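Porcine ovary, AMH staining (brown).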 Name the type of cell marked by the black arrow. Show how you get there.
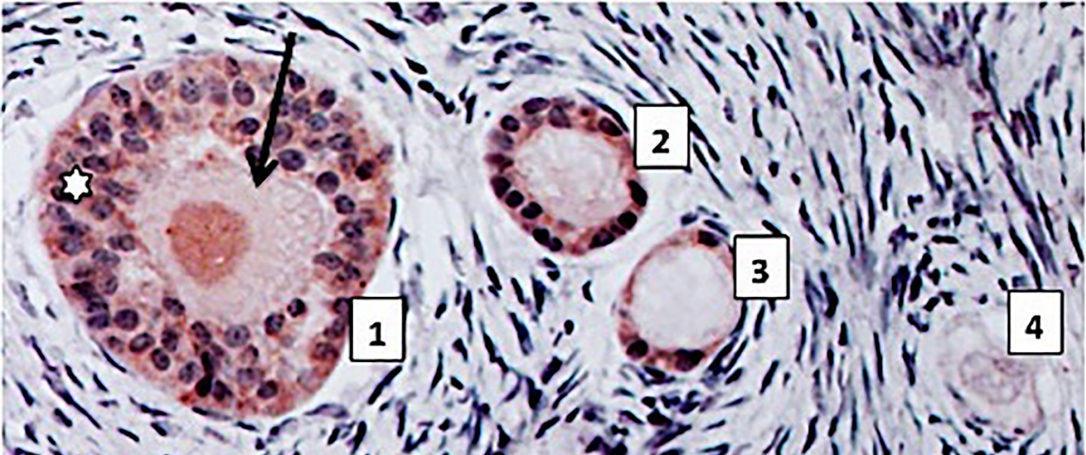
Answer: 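The arrow points to a large central cell in the biggest follicle. It is surrounded by a pale rim and by layers of smaller cells. So: Oocytes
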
